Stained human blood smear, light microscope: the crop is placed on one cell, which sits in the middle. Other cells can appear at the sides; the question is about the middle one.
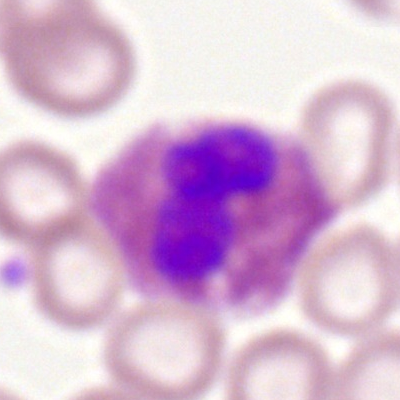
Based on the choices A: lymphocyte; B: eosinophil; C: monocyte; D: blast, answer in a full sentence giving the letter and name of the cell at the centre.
Option B gets it right: the cell in the middle is an eosinophil.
